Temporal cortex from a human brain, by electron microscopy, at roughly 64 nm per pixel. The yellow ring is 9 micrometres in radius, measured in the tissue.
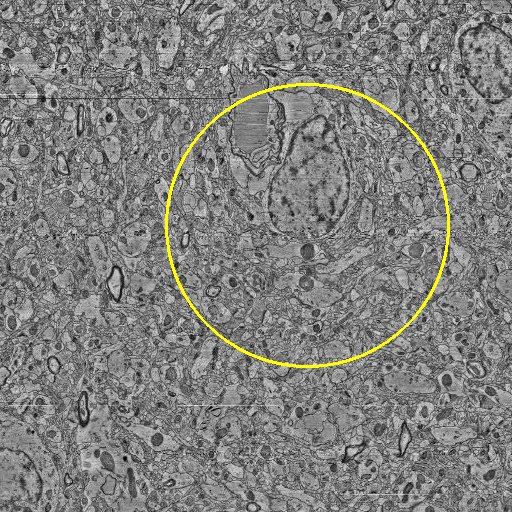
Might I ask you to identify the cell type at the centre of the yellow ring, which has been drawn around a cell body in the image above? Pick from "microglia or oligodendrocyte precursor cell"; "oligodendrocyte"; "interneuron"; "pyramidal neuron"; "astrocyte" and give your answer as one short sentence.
The centre of the ring falls on a microglial cell or oligodendrocyte precursor cell.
